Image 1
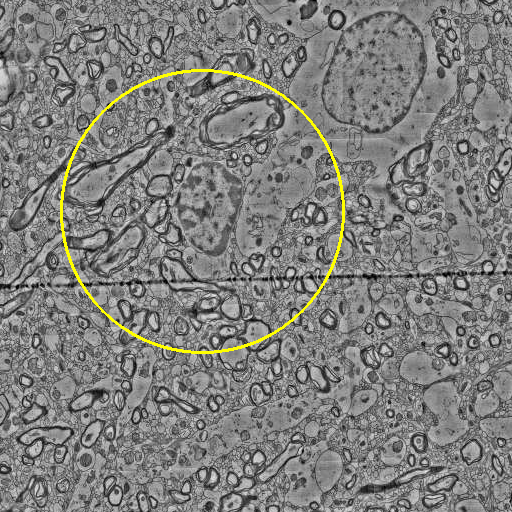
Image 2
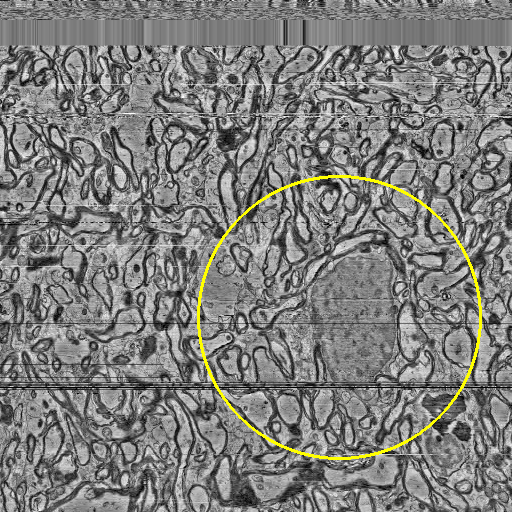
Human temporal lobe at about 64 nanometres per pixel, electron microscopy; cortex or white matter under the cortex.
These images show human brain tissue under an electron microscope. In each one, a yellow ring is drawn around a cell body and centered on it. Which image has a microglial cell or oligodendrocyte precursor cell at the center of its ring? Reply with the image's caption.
Image 1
